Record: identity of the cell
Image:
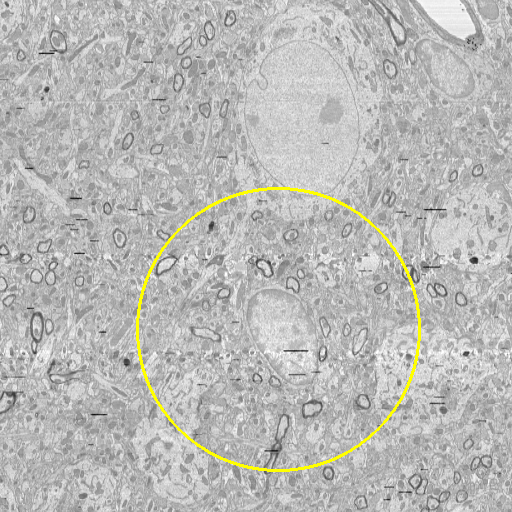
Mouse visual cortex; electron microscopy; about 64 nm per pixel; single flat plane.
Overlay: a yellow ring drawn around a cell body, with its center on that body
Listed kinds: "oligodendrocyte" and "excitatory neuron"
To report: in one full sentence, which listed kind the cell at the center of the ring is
In the image, the cell body at the ring's center belongs to an oligodendrocyte.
